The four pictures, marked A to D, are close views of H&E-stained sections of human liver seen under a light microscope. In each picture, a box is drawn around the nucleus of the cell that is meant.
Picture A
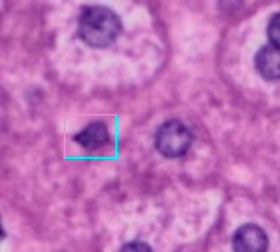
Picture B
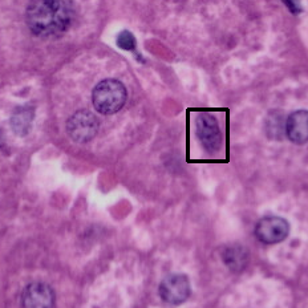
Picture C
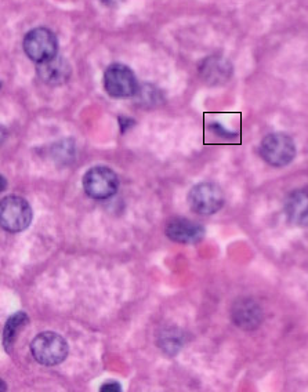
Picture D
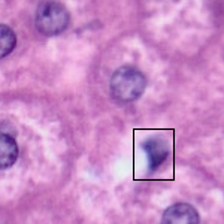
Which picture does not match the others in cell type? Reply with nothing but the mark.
B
